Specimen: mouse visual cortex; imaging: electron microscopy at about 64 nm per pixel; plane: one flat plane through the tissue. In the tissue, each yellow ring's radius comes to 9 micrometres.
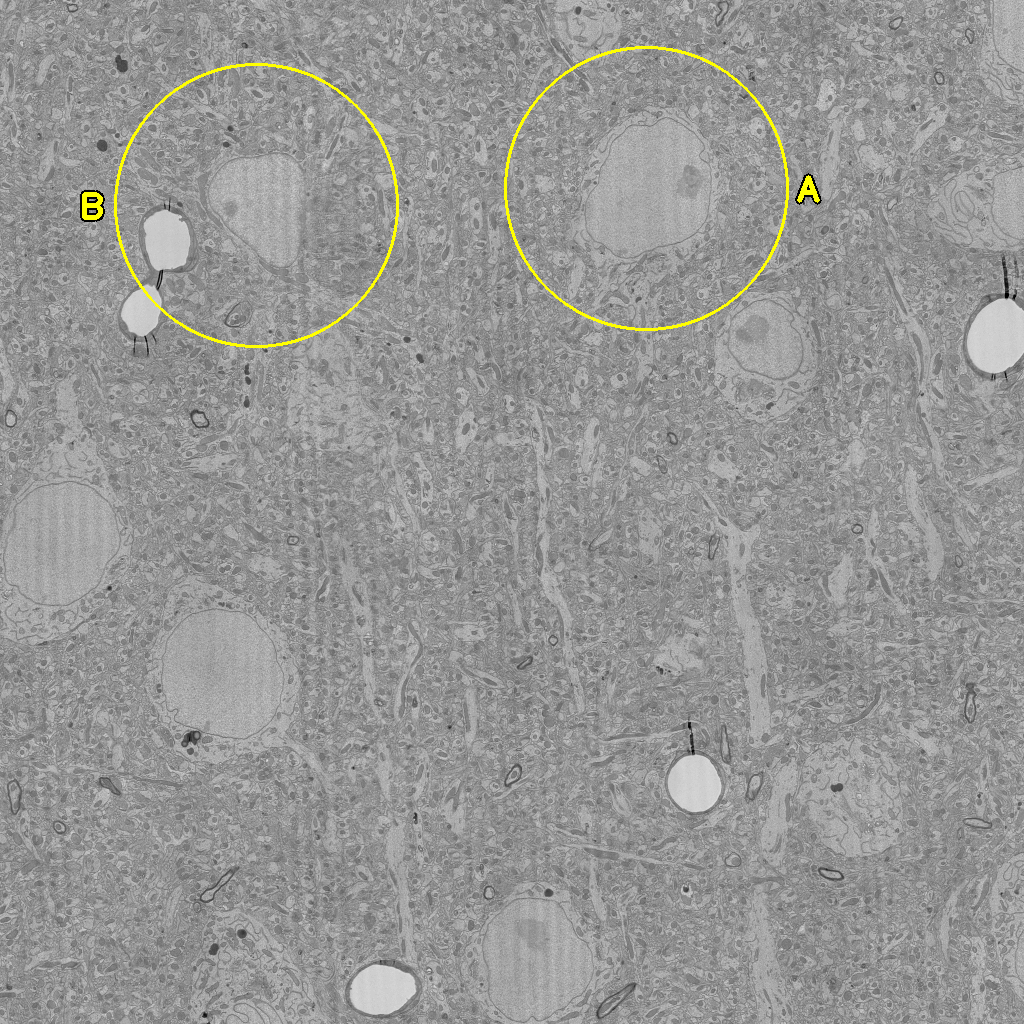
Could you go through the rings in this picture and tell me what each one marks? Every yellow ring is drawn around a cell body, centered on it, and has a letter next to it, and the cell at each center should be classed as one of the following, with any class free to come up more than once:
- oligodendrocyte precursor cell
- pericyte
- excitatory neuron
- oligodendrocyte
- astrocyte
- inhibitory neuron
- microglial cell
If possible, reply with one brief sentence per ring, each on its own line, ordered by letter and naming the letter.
The cell centered in ring A is an excitatory neuron.
The cell centered in ring B is an astrocyte.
